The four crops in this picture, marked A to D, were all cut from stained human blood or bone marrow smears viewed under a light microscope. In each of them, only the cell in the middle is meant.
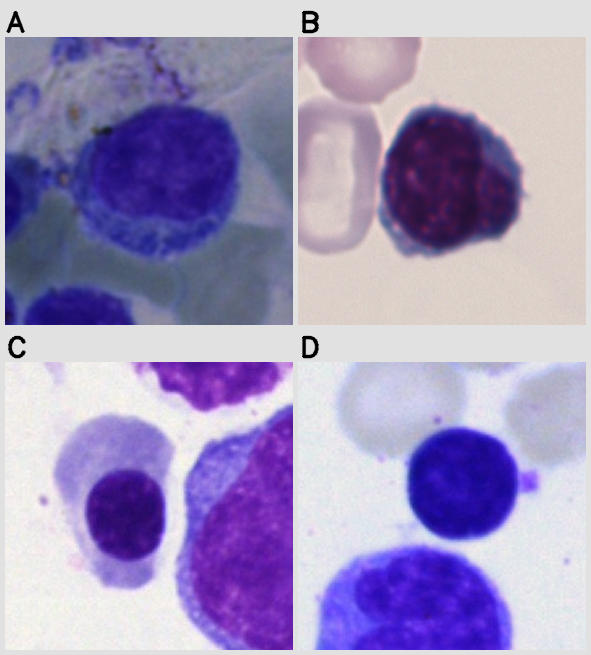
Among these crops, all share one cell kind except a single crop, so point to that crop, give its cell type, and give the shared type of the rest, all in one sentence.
Crop C differs: it is an erythroblast, and all the other crops show lymphocytes.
